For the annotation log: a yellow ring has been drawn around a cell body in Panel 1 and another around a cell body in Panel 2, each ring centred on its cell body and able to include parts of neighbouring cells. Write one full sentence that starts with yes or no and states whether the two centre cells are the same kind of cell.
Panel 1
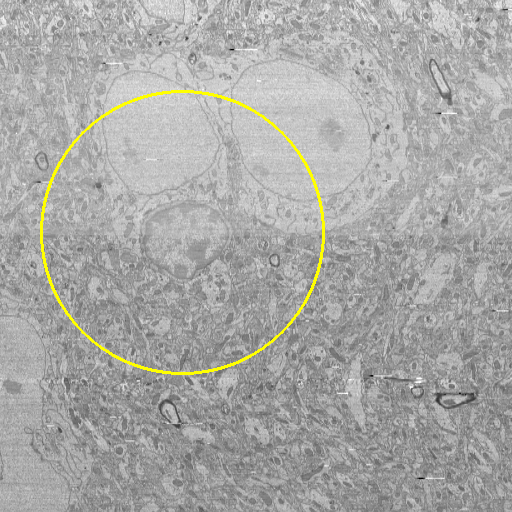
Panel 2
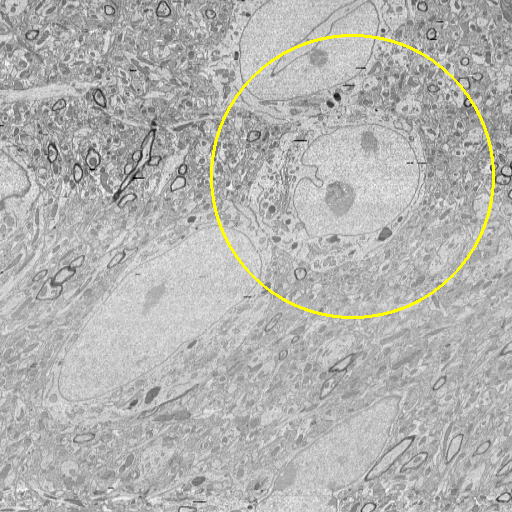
No, the two centre cells are two kinds of cell.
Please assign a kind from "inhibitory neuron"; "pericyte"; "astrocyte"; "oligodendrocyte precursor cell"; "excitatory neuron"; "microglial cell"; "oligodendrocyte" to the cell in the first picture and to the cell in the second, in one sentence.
In the first picture we have an oligodendrocyte, and in the second, an excitatory neuron.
